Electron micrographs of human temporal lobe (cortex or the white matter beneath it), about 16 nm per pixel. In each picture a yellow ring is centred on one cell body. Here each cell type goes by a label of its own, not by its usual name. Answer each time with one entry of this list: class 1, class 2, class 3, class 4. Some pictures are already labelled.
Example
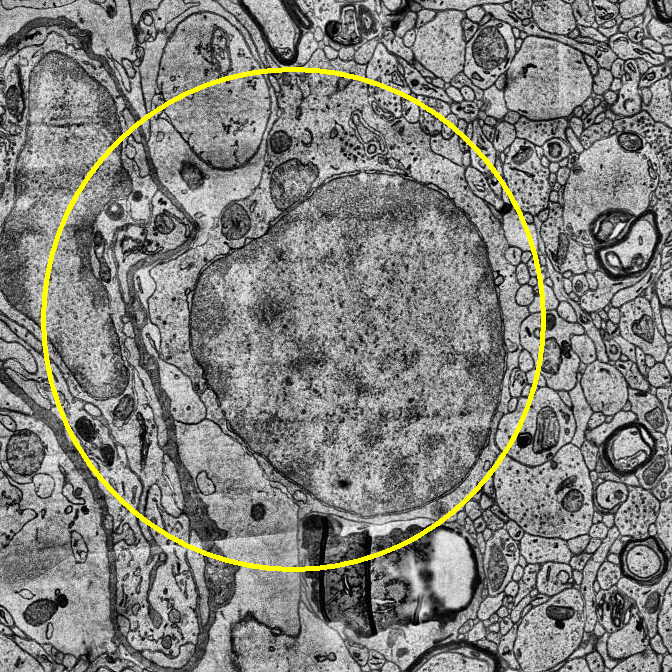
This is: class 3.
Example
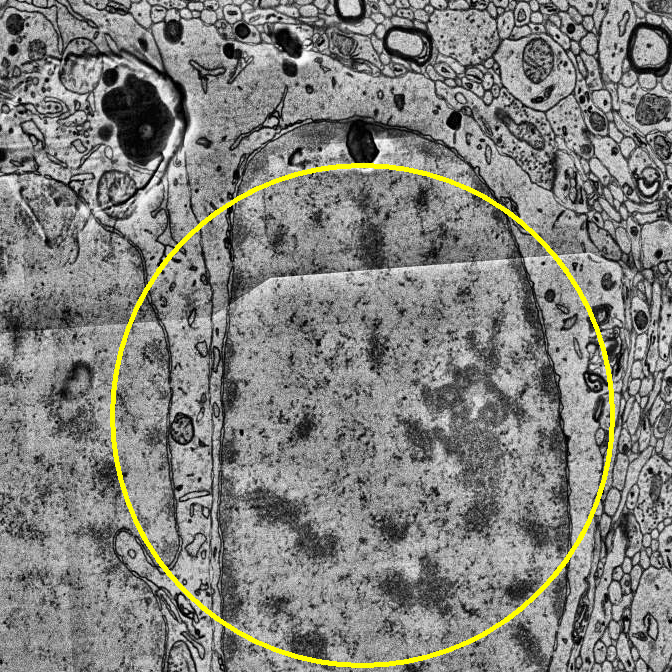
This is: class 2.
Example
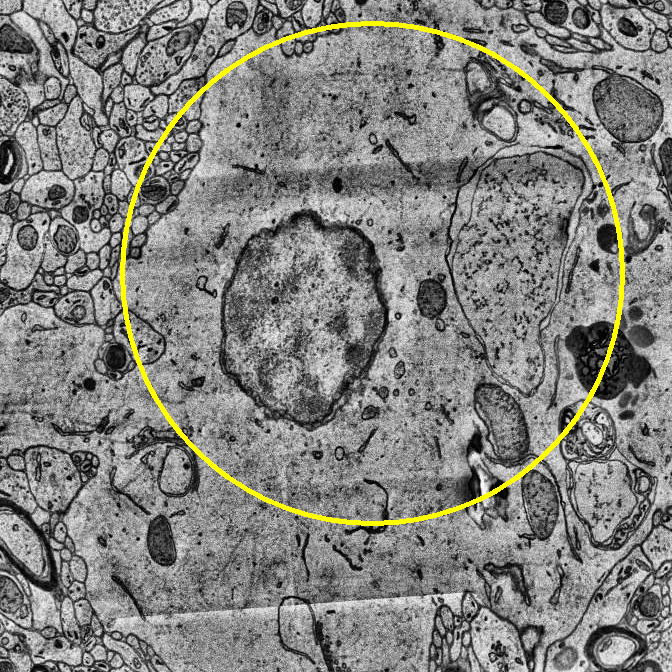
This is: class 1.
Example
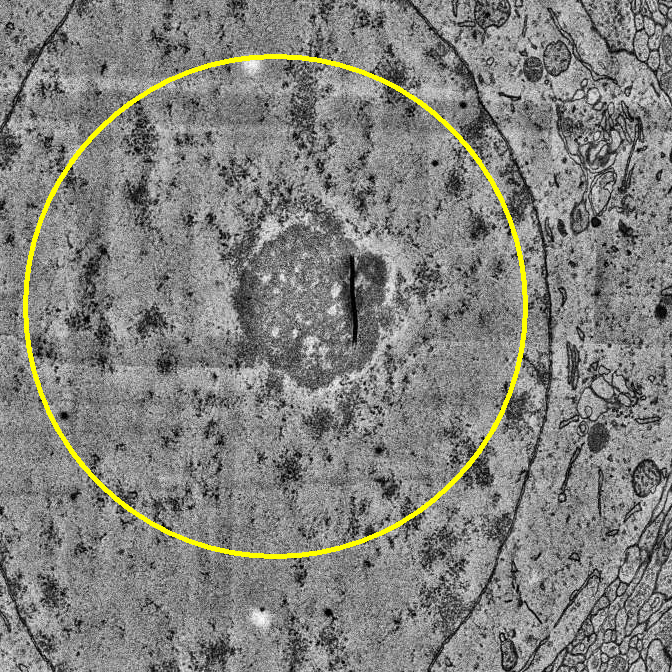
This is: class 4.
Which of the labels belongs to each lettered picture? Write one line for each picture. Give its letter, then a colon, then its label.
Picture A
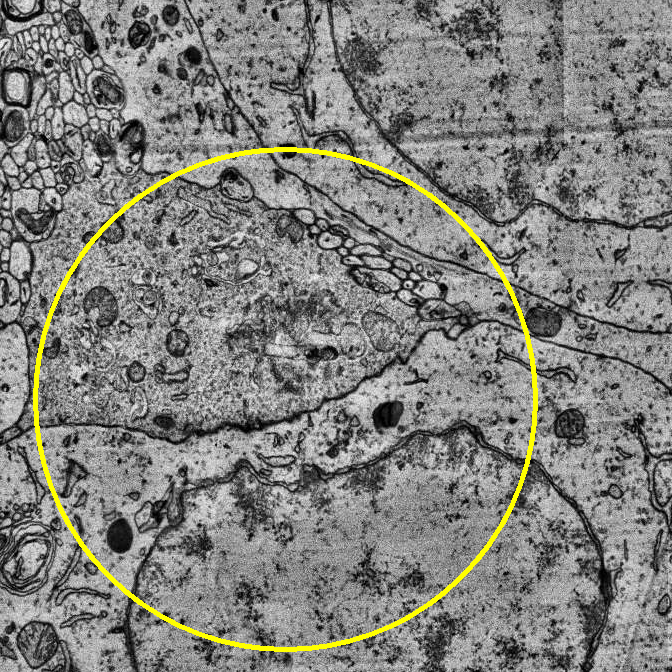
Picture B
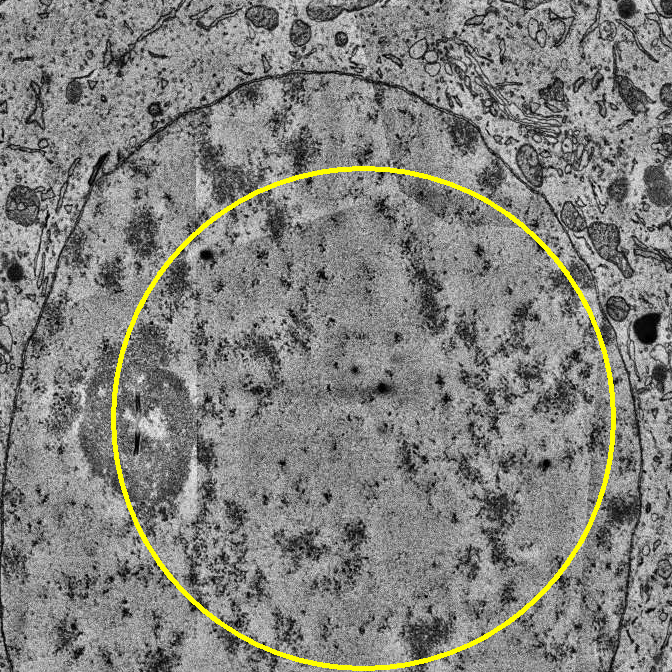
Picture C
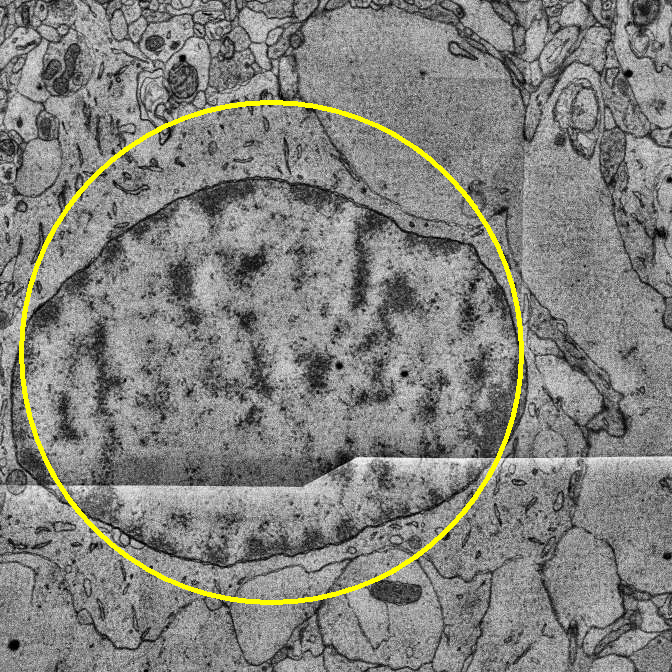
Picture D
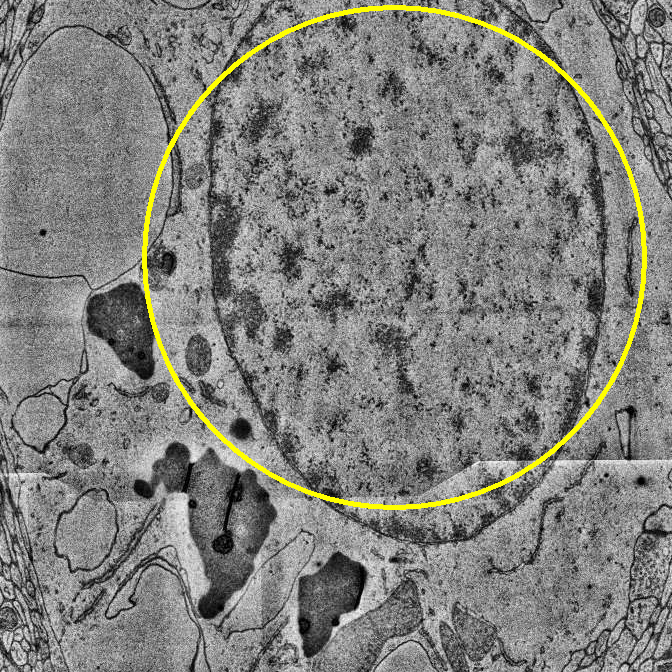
A: class 3.
B: class 4.
C: class 2.
D: class 1.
